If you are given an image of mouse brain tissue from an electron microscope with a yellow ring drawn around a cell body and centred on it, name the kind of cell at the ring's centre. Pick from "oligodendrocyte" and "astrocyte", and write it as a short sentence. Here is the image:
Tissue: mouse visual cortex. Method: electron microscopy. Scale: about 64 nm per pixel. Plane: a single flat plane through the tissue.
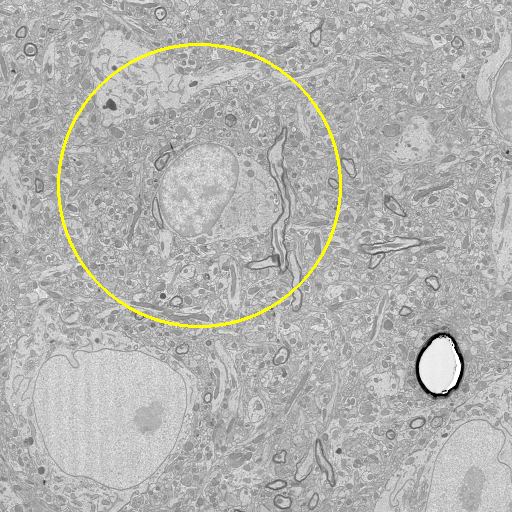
The cell at the ring's centre is an oligodendrocyte.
